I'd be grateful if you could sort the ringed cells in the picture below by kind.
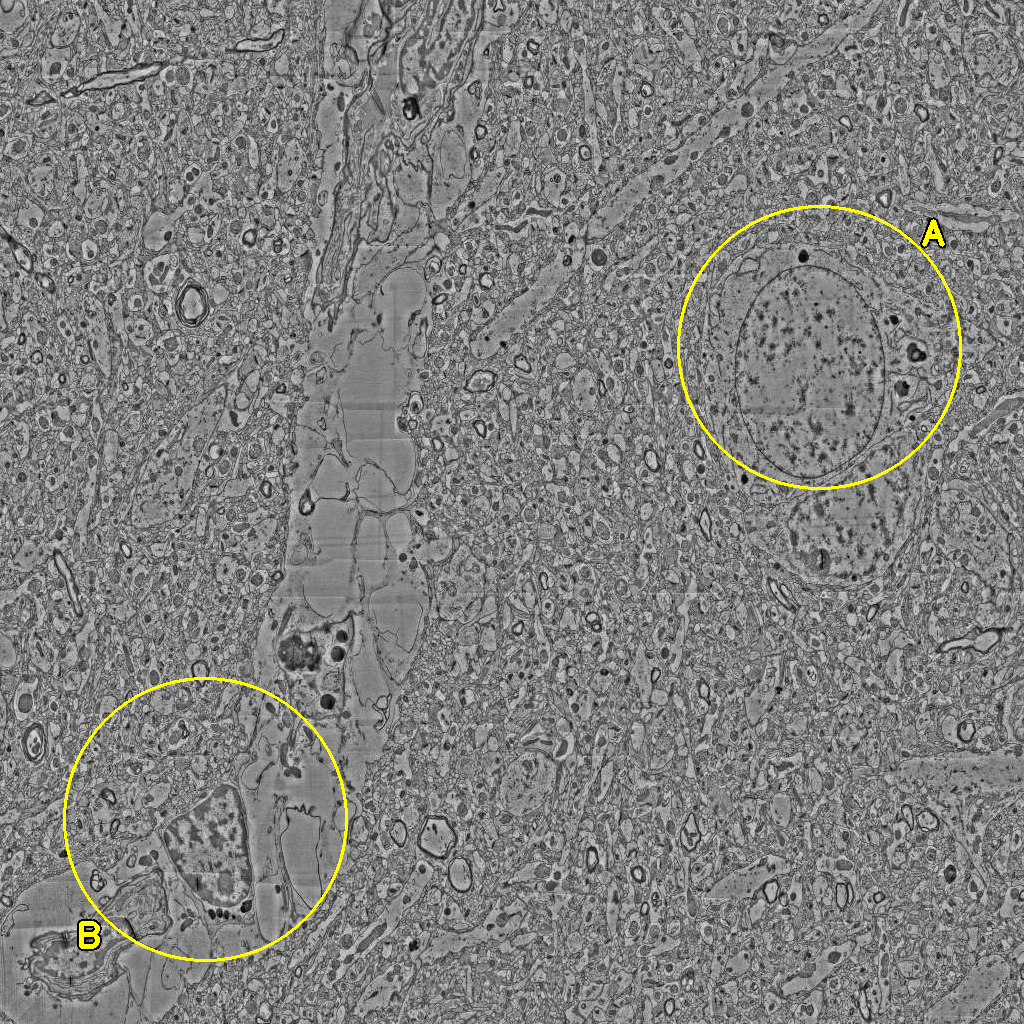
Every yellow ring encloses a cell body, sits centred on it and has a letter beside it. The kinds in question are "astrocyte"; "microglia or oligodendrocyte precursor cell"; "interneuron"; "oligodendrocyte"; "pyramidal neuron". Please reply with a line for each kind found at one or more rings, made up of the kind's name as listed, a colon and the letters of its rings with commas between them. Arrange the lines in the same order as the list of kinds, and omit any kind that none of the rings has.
microglia or oligodendrocyte precursor cell: B
pyramidal neuron: A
